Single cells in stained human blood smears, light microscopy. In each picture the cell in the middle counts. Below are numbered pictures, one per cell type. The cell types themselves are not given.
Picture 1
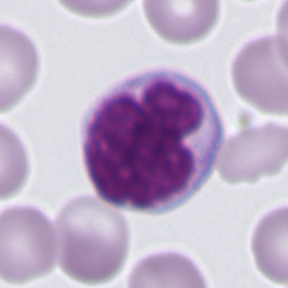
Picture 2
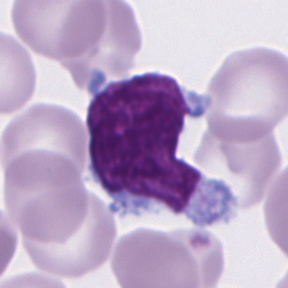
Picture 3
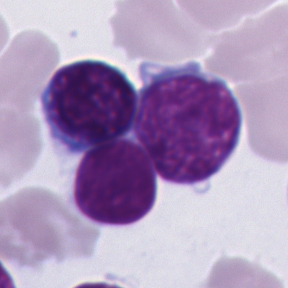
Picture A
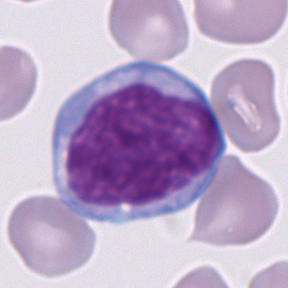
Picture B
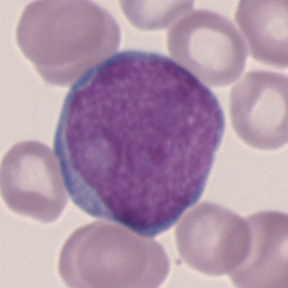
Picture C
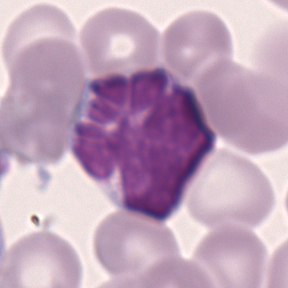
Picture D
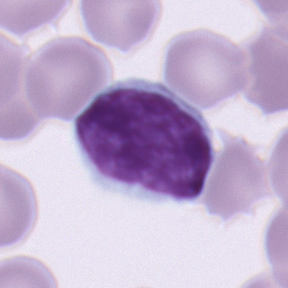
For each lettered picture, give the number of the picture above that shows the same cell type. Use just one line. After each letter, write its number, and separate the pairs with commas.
A 3, B 3, C 1, D 2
